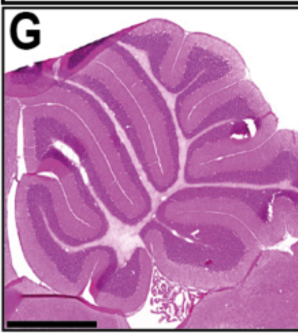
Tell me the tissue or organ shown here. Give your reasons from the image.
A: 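Cerebellum. The tissue is folded into many lobules arranged like a fan. Each lobule has a dark purple cellular layer around a pale branching core.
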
